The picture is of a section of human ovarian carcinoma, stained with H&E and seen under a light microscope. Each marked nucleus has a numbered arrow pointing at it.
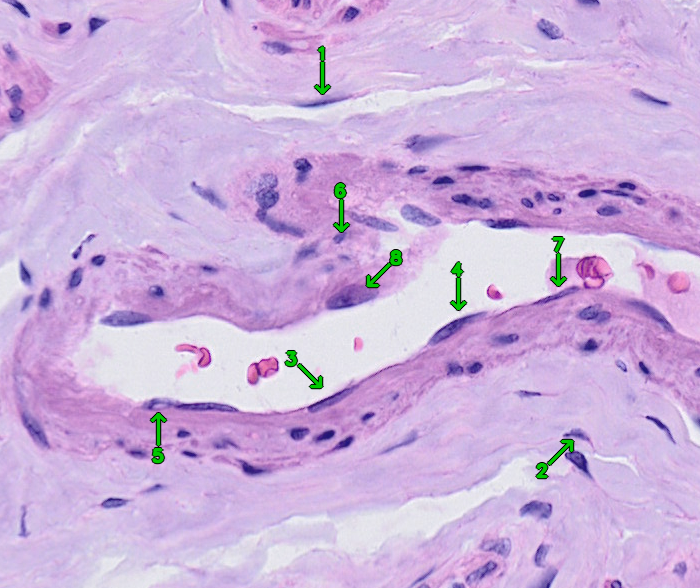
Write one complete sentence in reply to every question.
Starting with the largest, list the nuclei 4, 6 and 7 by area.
The nuclei rank 4, 7, 6, from largest to smallest.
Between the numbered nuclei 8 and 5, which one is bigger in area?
Nucleus 8 is the larger one, covering about 3 times the area of nucleus 5.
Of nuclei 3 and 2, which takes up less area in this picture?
With nucleus 3 about 3 times its size, nucleus 2 is the smaller of the two.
